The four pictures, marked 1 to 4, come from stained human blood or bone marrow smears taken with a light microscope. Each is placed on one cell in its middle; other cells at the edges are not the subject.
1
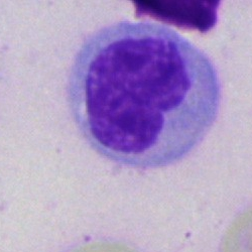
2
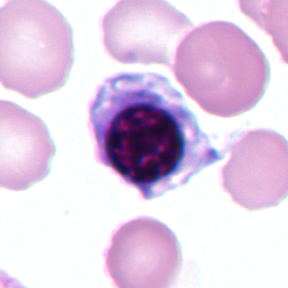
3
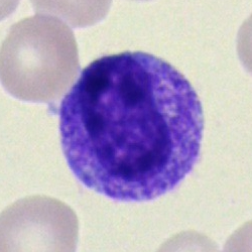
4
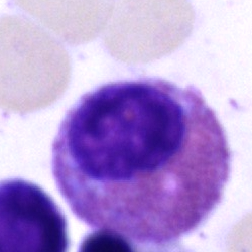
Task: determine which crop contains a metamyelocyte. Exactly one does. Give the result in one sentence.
The one showing a metamyelocyte is the crop labelled 3.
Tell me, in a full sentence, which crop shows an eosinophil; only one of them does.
The crop that has an eosinophil in the middle is crop 4.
